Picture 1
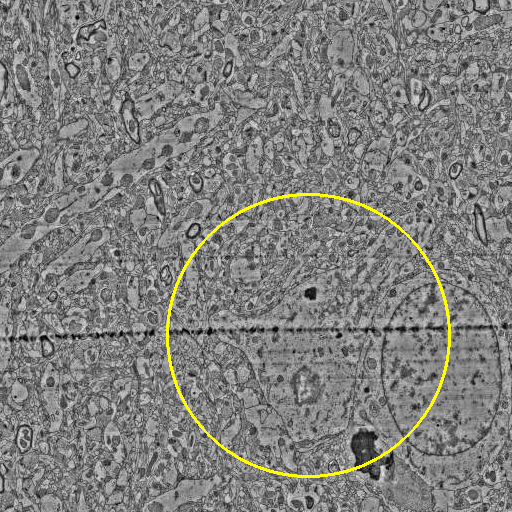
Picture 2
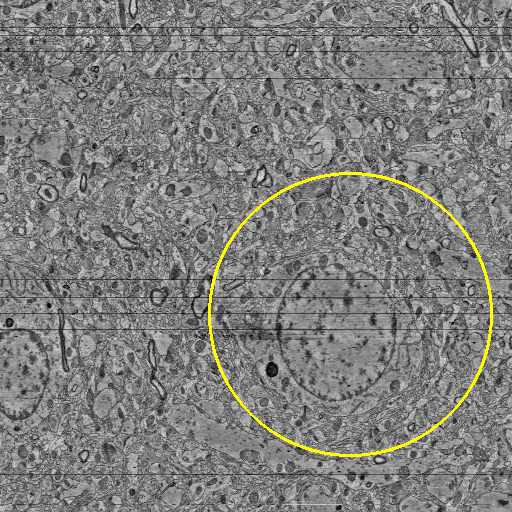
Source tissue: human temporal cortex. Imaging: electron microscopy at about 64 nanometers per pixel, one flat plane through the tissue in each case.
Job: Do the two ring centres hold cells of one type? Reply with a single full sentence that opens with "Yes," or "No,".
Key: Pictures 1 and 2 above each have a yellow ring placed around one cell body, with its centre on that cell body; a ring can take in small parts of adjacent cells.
Yes, the cells at the two ring centres are of one single type.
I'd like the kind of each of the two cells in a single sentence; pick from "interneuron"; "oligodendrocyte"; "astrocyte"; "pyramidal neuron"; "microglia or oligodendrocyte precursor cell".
In each of the two pictures, the ringed cell is a pyramidal neuron.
